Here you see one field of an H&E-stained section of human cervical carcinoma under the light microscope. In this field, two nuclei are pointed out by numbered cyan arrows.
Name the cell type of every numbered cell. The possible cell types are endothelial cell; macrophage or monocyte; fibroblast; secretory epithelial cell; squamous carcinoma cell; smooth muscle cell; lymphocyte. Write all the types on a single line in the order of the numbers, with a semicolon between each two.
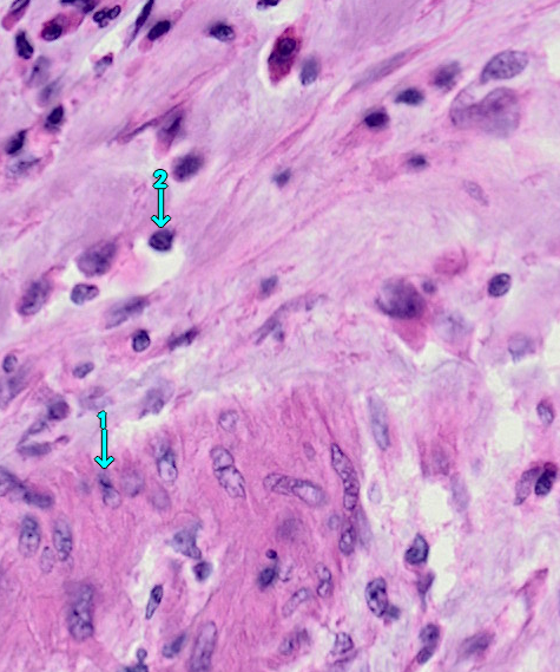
smooth muscle cell; lymphocyte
